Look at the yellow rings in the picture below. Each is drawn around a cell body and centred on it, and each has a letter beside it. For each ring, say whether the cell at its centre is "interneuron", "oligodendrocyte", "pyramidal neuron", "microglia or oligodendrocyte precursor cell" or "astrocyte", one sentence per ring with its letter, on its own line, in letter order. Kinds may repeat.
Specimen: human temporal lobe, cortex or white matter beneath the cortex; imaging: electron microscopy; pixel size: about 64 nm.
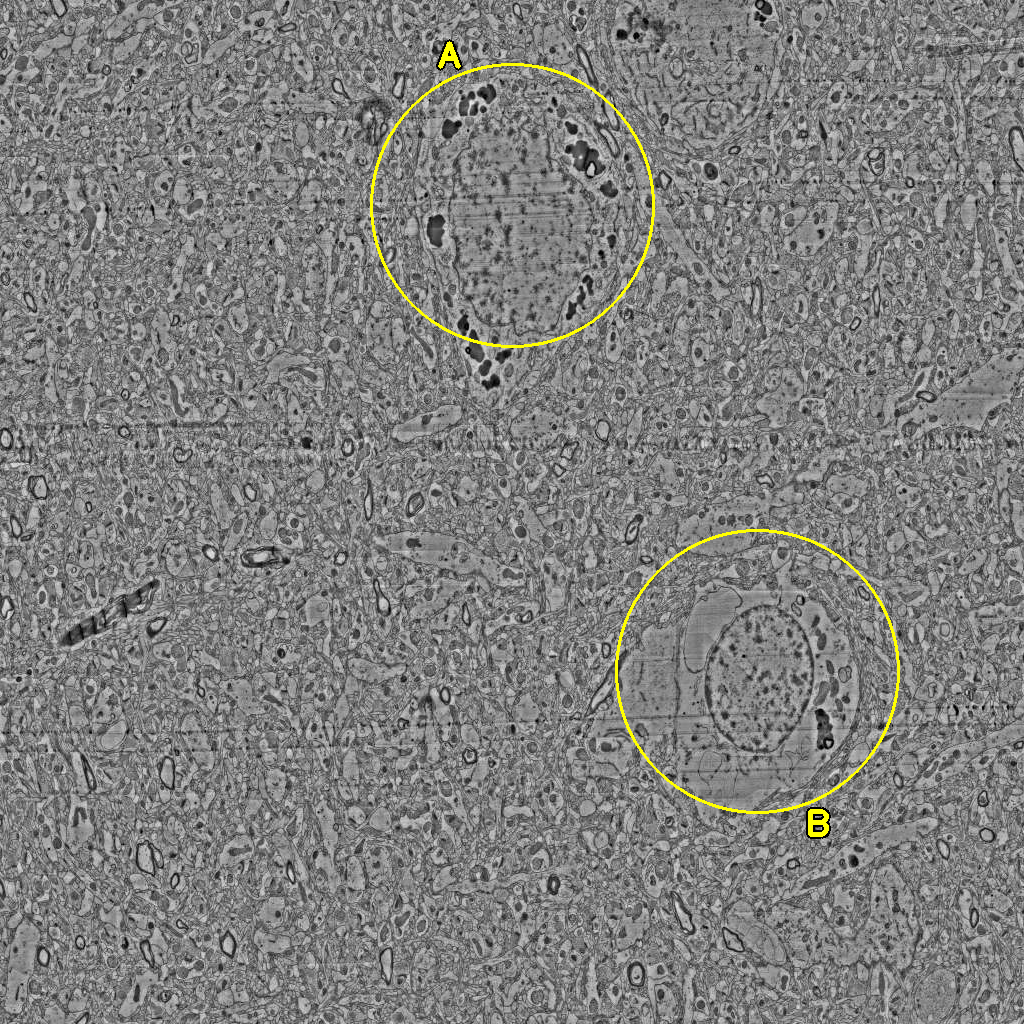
The centred cell of ring A is an interneuron.
The centred cell of ring B is an astrocyte.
